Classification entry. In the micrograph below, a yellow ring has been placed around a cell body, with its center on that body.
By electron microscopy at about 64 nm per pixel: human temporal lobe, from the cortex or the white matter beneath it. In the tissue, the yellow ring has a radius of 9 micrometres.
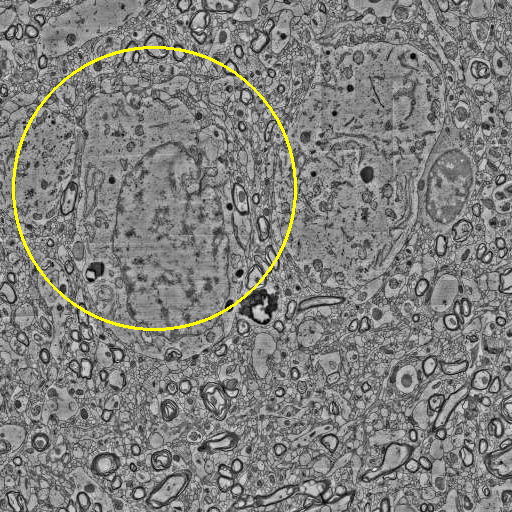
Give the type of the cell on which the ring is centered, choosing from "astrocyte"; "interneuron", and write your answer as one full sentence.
The cell body at the center of the yellow ring belongs to an interneuron.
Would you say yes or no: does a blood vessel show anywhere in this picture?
No, none appears.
